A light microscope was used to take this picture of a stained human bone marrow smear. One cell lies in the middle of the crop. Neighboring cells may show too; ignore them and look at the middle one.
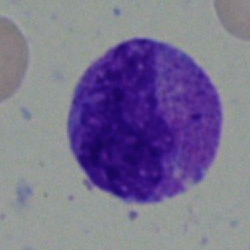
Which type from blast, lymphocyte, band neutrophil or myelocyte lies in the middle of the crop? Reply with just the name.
myelocyte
